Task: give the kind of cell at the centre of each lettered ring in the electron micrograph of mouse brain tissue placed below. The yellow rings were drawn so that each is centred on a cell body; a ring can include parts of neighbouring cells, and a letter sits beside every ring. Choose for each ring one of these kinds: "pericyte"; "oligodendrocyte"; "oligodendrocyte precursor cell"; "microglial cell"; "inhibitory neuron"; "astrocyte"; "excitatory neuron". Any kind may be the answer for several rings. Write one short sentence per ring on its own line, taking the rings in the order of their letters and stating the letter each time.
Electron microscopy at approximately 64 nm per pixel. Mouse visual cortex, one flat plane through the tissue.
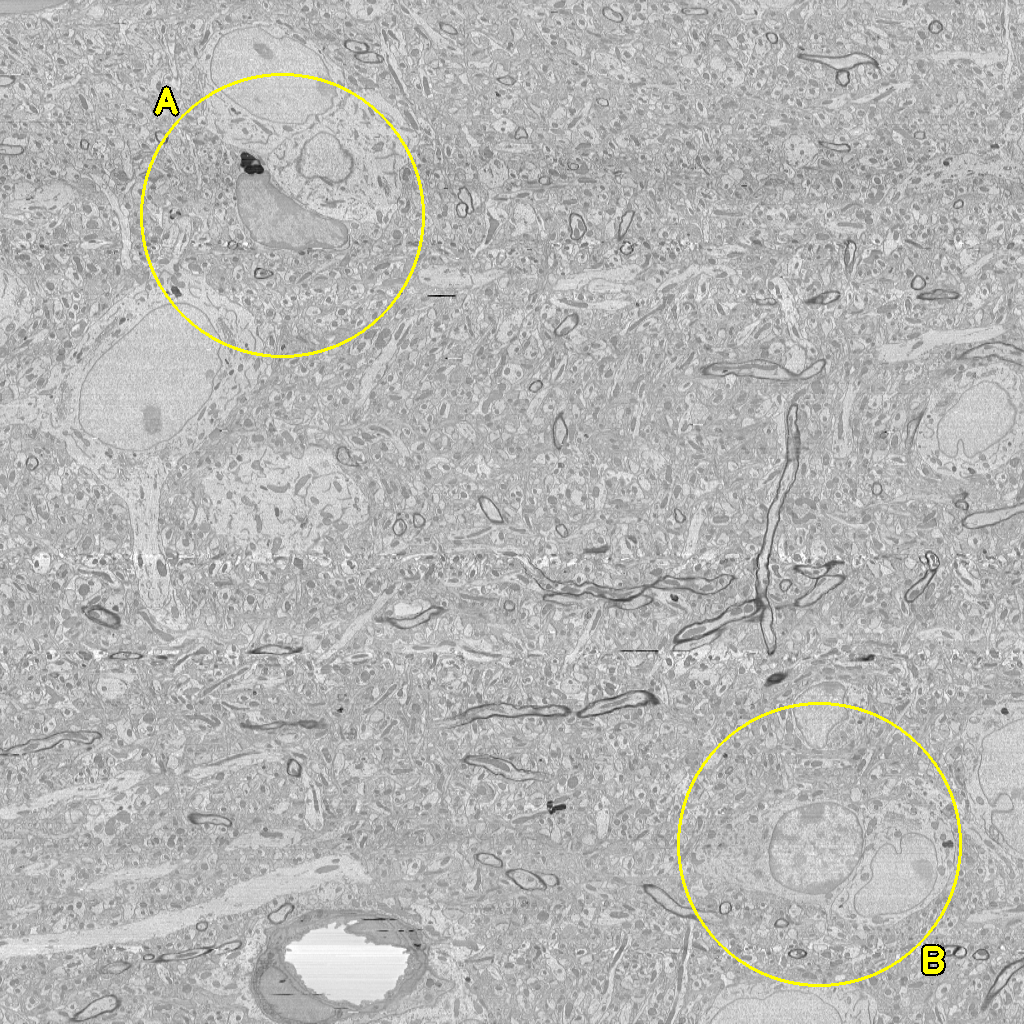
The yellow ring marked A surrounds a microglial cell.
The yellow ring marked B surrounds an oligodendrocyte.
